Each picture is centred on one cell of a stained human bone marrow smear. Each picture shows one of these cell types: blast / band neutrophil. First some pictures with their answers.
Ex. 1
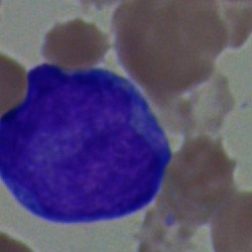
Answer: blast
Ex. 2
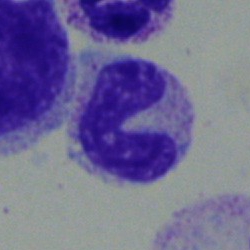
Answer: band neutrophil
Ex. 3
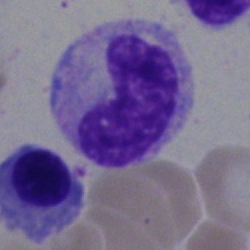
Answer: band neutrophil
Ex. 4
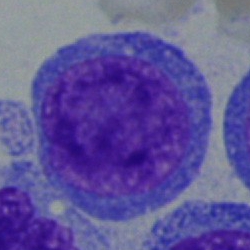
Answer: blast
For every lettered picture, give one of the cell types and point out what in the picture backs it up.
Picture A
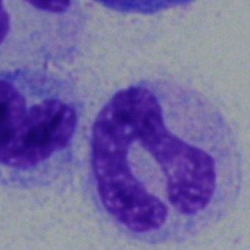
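Label: band neutrophil. The nucleus is a single curved band bent into a horseshoe shape.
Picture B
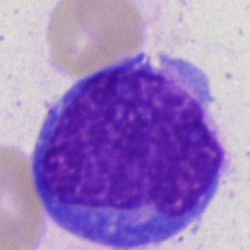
Label: blast. The nucleus fills most of the cell, leaving a rim of cytoplasm that is widest at the bottom.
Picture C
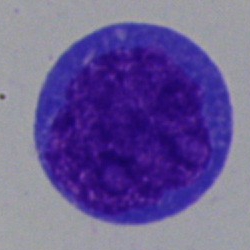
Label: blast. The chromatin is finely granular rather than coarsely clumped.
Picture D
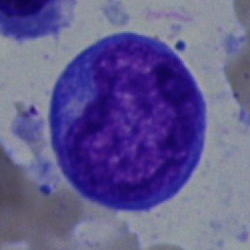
Label: blast. The nucleus fills most of the cell.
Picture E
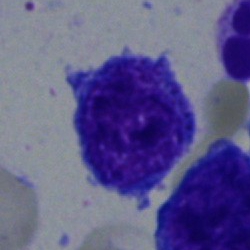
Label: blast. The chromatin looks finely stippled rather than clumped.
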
